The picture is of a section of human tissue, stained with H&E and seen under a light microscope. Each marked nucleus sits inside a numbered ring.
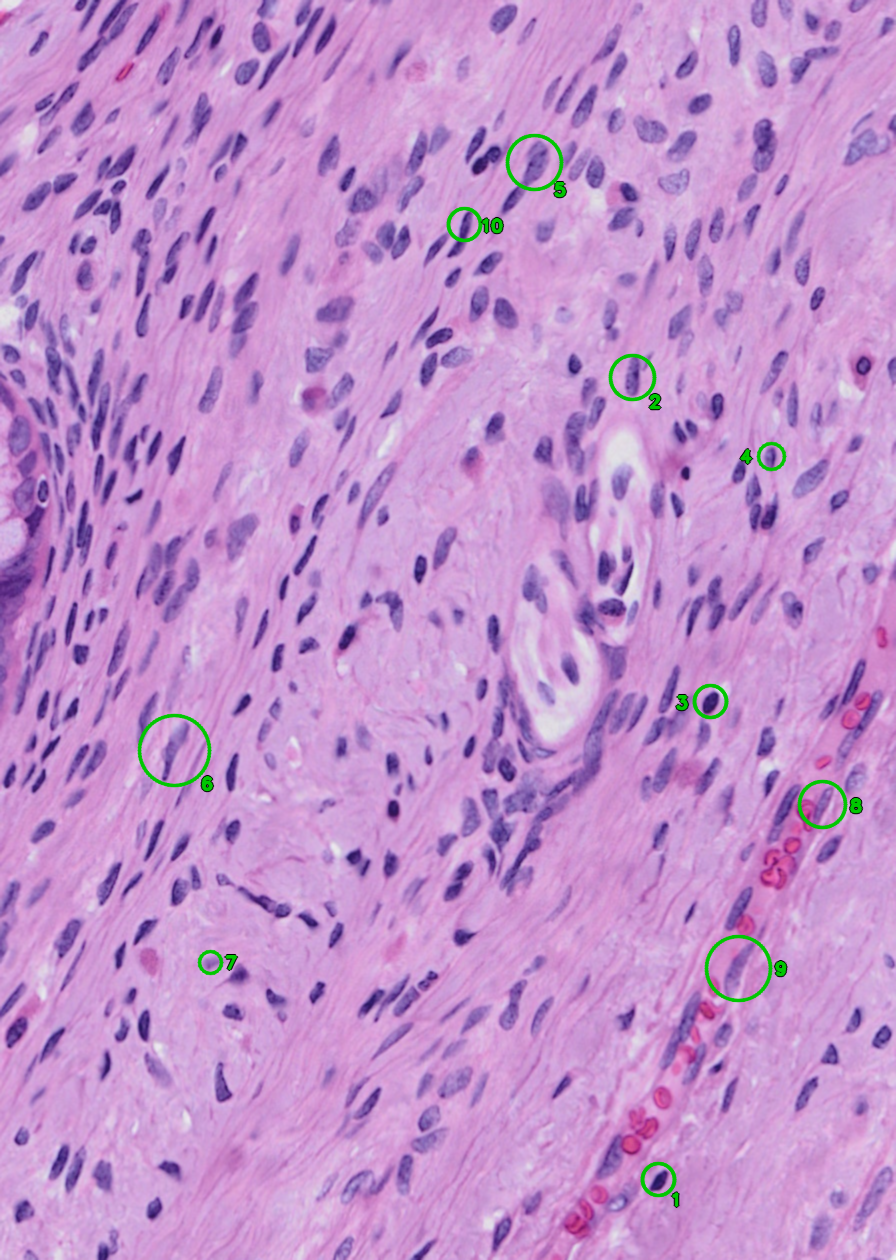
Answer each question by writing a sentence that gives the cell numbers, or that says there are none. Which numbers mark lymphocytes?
The cells shown with numbers 1 and 3 are lymphocytes.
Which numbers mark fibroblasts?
The cells 2, 4, 5, 6, 7 and 10 in this section are fibroblasts.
